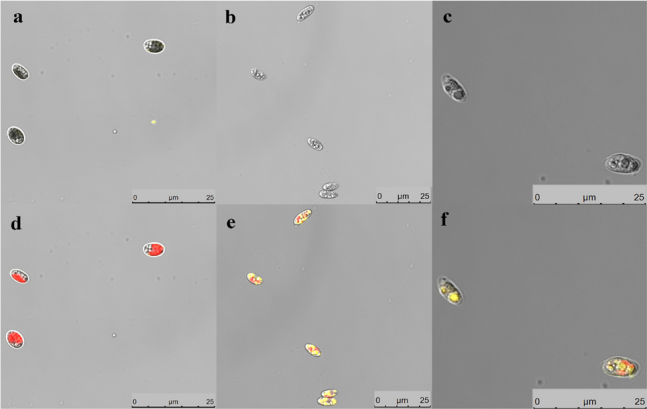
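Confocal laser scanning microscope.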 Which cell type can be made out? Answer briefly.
Algal cells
